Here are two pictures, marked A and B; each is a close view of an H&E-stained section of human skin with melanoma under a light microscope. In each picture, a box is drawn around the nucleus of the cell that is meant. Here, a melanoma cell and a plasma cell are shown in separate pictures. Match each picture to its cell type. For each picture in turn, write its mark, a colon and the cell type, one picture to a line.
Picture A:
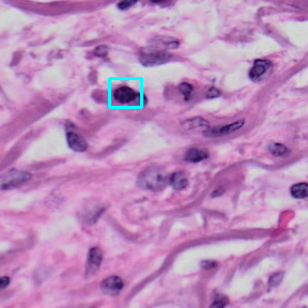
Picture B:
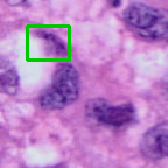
A: plasma cell
B: melanoma cell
